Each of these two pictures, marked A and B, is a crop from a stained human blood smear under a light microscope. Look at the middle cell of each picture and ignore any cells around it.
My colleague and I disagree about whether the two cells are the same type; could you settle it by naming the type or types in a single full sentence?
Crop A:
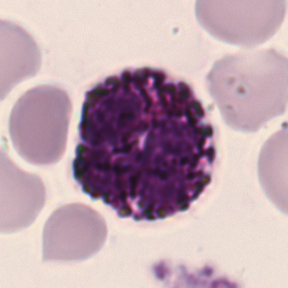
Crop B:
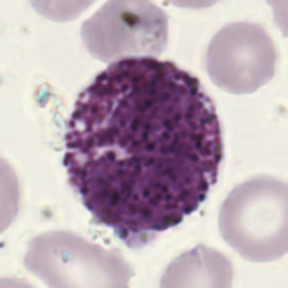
Yes, the middle cells in the two crops are basophils.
